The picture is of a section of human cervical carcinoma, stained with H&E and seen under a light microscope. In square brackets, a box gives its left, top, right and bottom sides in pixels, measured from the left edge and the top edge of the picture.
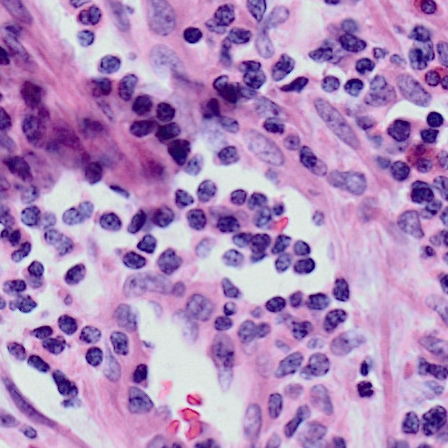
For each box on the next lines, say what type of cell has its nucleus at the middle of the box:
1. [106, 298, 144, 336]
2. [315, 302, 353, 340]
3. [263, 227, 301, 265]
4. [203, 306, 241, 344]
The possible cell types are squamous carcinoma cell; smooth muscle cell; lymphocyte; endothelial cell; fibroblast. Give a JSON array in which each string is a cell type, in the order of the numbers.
["endothelial cell", "lymphocyte", "lymphocyte", "lymphocyte"]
